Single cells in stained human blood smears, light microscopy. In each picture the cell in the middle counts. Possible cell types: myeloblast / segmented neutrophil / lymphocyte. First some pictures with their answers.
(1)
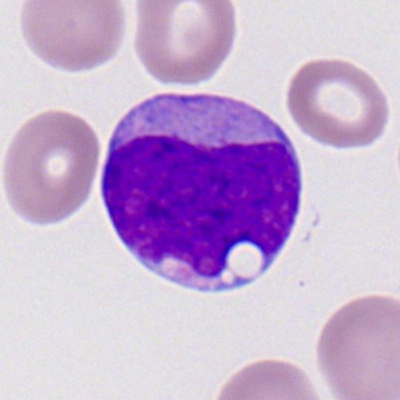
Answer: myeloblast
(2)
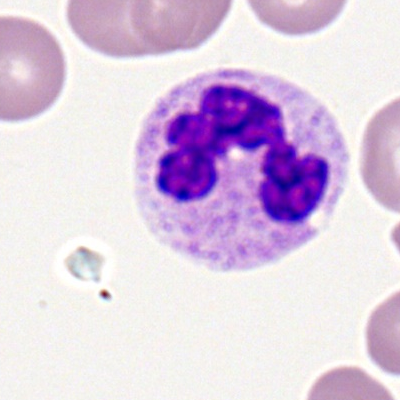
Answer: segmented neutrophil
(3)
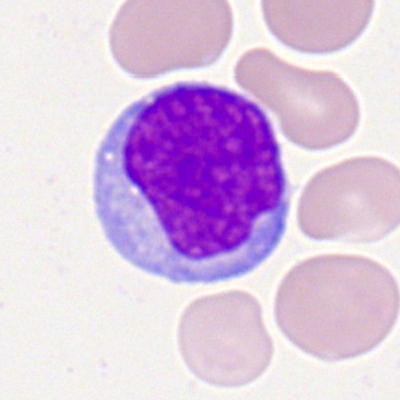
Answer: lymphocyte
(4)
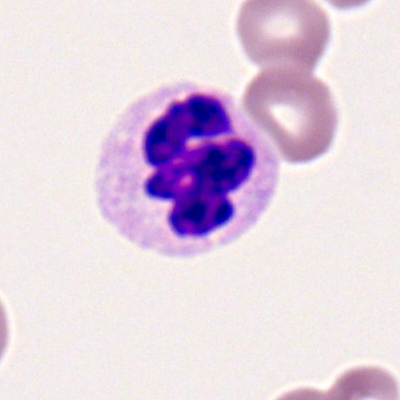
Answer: segmented neutrophil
